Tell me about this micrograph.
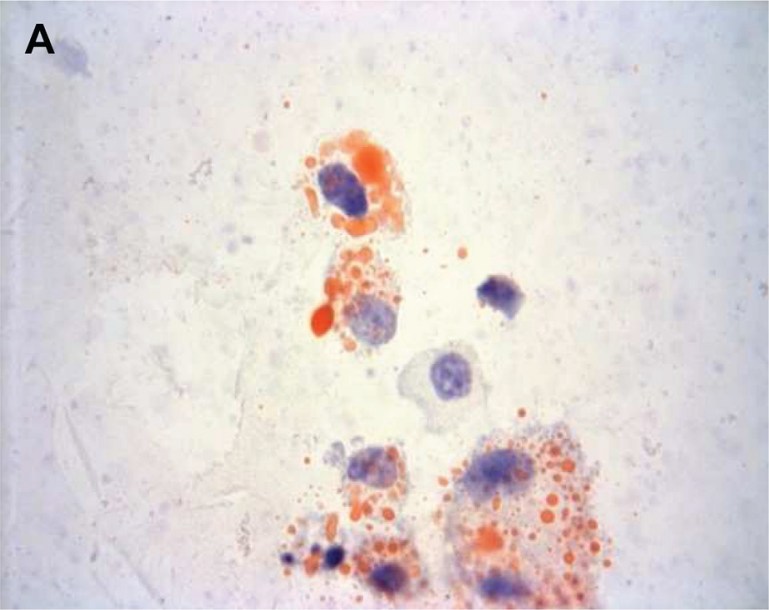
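These are isolated macrophages, most of them loaded with lipid droplets. One cell in the middle has pale, clear cytoplasm with few droplets, which makes the loaded cells around it stand out. The cells lie loosely scattered rather than in a sheet.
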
